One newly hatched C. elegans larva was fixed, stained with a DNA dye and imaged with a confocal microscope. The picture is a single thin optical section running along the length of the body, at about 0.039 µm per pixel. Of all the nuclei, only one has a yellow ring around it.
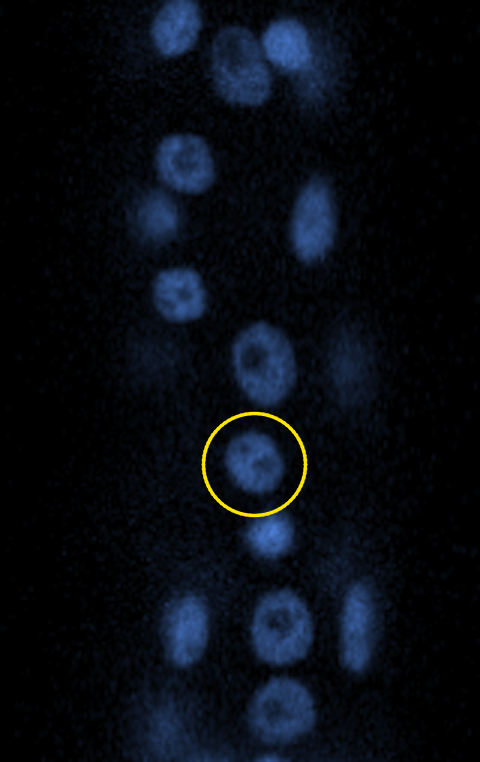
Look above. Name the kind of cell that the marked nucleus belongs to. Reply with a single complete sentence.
The marked nucleus is that of a seam cell.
